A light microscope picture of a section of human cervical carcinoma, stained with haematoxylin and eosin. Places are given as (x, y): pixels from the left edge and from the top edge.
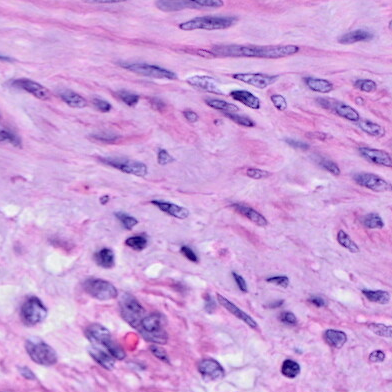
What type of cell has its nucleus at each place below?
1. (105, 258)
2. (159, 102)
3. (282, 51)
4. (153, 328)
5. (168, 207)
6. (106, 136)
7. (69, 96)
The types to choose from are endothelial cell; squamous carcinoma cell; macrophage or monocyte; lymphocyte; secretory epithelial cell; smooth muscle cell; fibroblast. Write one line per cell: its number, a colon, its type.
1: lymphocyte
2: smooth muscle cell
3: smooth muscle cell
4: endothelial cell
5: fibroblast
6: smooth muscle cell
7: smooth muscle cell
